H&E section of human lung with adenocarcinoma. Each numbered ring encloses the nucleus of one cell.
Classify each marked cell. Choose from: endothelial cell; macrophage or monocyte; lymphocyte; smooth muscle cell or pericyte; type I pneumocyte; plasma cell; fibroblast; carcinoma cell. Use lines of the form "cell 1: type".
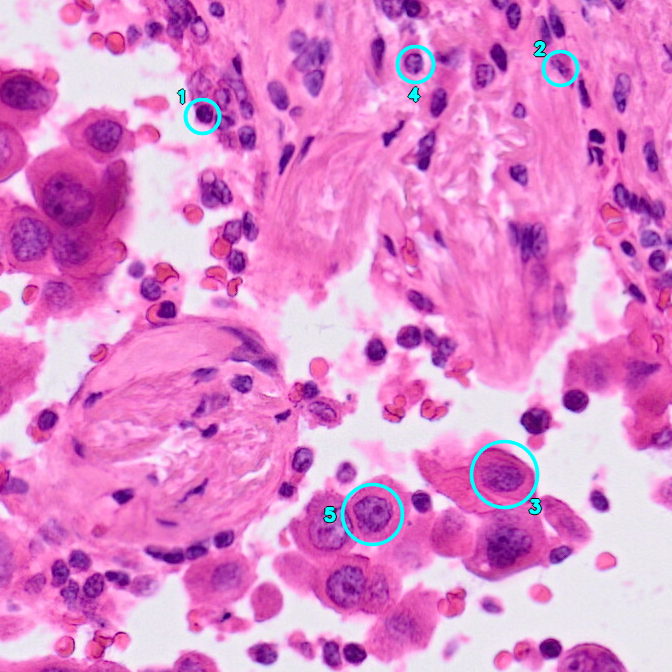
cell 1: lymphocyte
cell 2: plasma cell
cell 3: carcinoma cell
cell 4: plasma cell
cell 5: carcinoma cell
